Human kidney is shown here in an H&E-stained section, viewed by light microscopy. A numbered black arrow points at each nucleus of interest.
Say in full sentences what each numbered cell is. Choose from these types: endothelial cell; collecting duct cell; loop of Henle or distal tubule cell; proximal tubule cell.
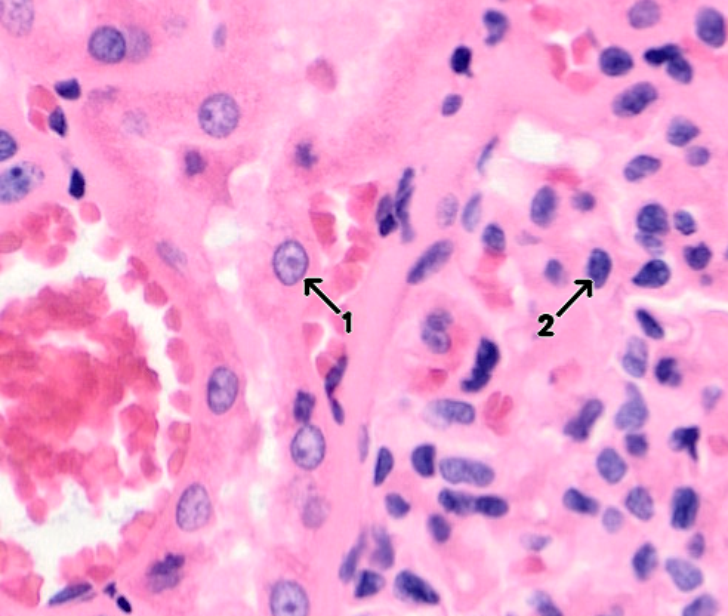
Cell 1 is a proximal tubule cell. Cell 2 is an endothelial cell.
